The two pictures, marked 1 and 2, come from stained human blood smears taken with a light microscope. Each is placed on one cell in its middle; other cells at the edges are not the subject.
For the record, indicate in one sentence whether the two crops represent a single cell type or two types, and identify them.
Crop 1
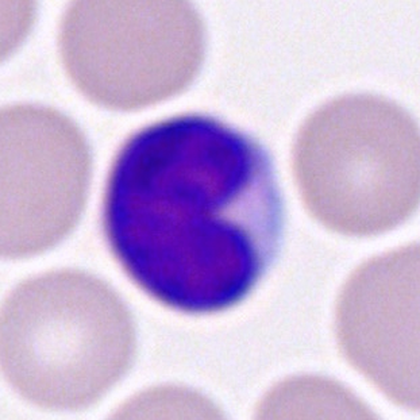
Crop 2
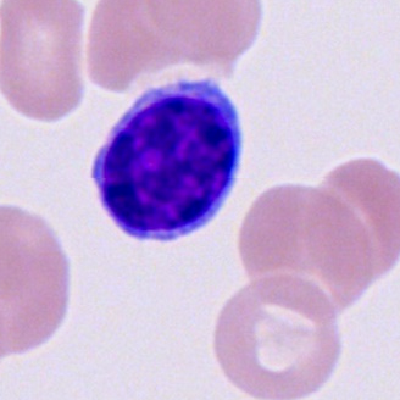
Yes, both crops show lymphocytes at their middles.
